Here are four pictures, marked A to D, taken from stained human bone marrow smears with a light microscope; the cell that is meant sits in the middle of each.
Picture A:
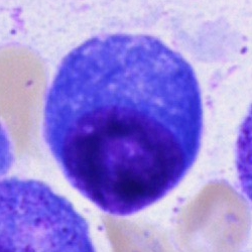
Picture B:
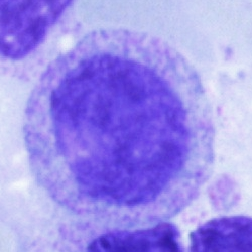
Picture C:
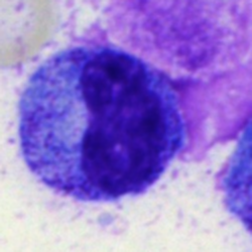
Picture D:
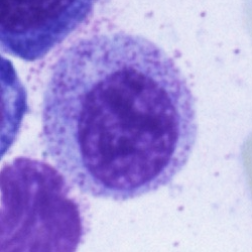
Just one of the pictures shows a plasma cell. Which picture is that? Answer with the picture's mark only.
A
